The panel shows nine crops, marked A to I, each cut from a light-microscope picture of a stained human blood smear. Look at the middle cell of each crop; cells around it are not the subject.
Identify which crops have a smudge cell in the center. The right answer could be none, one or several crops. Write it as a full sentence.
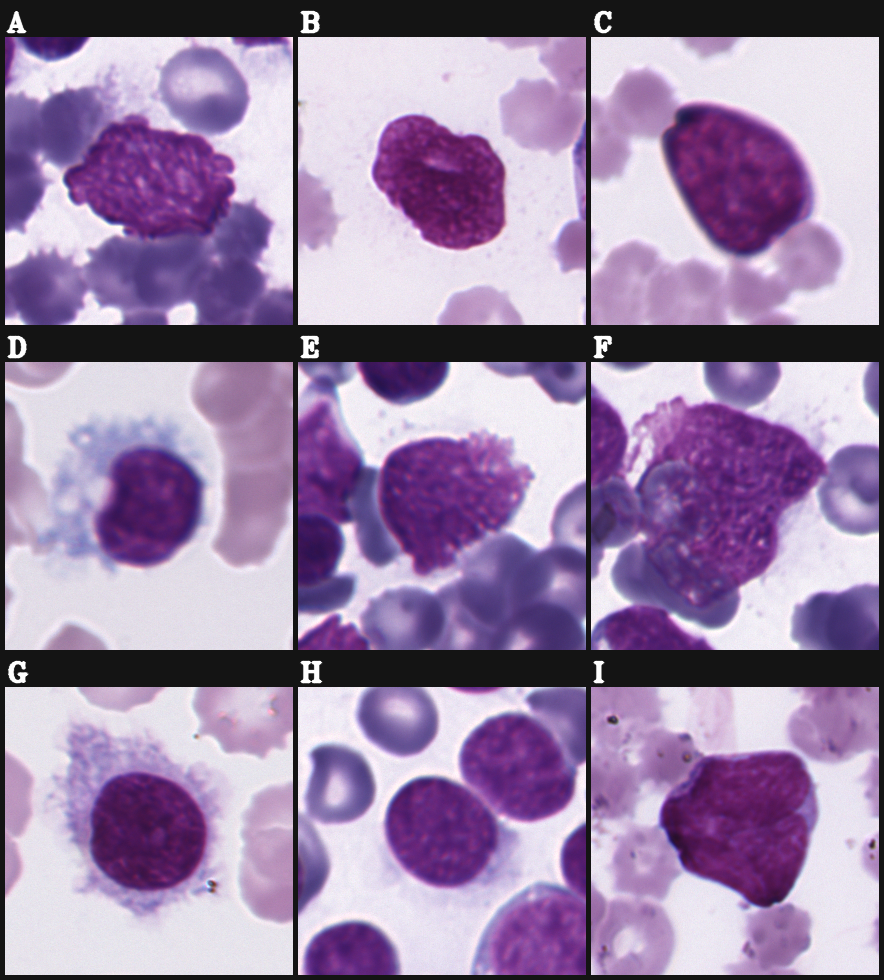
Crops A, B, E and F show smudge cells at their centres.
